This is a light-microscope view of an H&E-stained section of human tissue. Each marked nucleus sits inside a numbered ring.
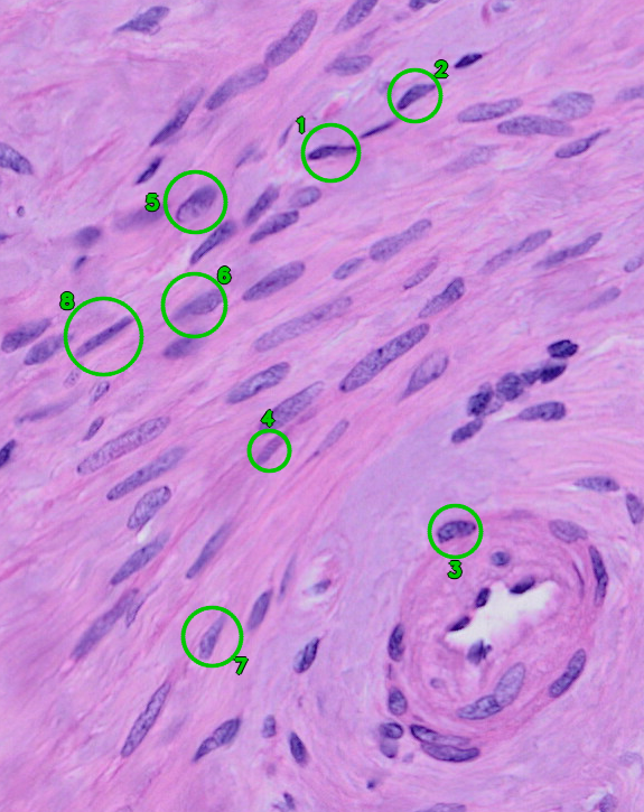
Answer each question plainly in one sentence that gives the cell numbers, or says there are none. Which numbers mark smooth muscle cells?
Regarding the numbered cells 3, 4 and 7, these are smooth muscle cells.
